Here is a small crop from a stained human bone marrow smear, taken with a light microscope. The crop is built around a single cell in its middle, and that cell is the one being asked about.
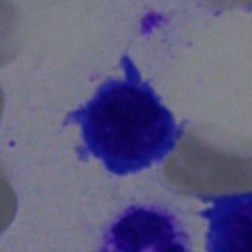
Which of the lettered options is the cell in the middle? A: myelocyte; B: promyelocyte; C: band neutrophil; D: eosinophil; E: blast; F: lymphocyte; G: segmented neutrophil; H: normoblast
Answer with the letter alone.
H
